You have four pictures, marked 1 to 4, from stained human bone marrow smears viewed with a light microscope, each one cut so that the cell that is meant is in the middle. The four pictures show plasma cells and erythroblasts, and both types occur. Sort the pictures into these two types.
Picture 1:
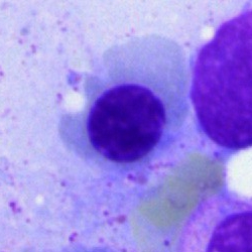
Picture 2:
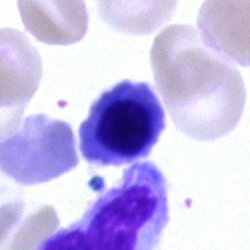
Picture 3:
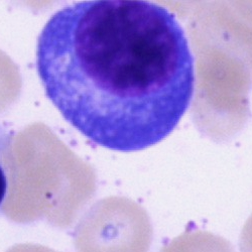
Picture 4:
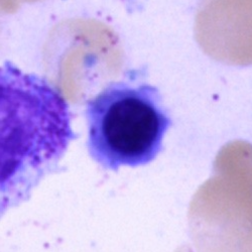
1: erythroblast
2: erythroblast
3: plasma cell
4: erythroblast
